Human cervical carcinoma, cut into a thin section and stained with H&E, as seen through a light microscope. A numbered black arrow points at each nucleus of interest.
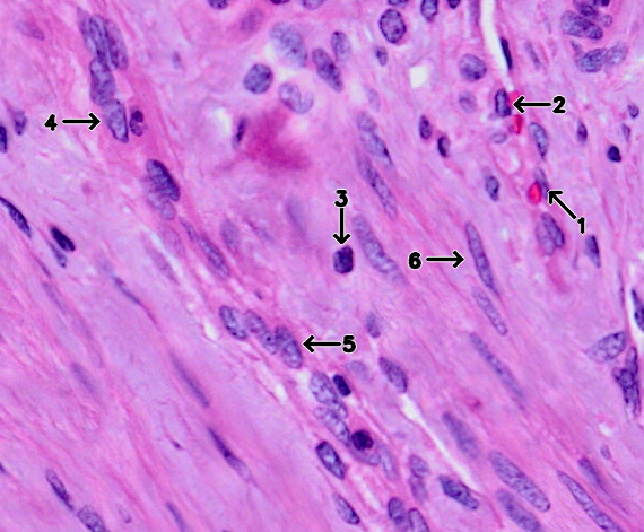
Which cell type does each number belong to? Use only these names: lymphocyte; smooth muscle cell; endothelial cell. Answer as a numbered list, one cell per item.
1. endothelial cell
2. endothelial cell
3. lymphocyte
4. endothelial cell
5. endothelial cell
6. smooth muscle cell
